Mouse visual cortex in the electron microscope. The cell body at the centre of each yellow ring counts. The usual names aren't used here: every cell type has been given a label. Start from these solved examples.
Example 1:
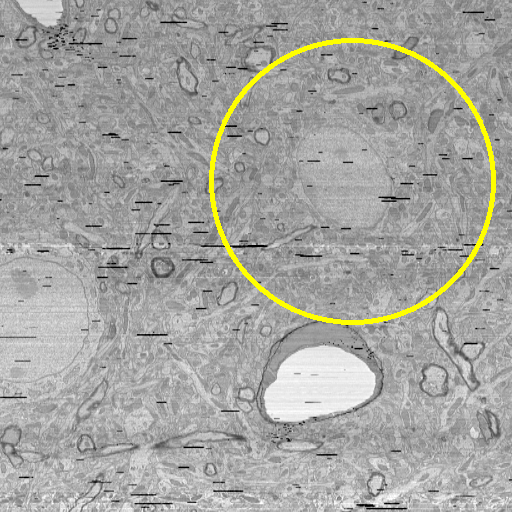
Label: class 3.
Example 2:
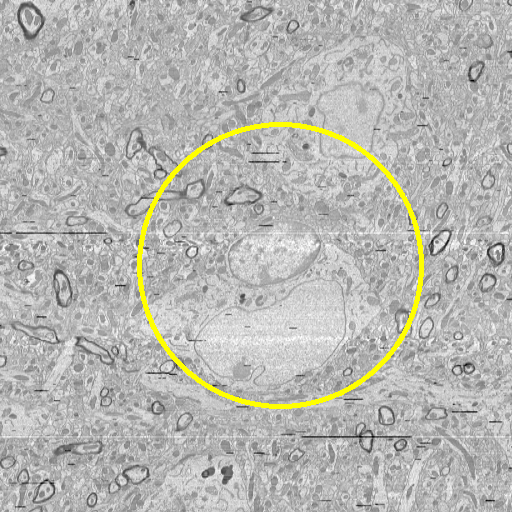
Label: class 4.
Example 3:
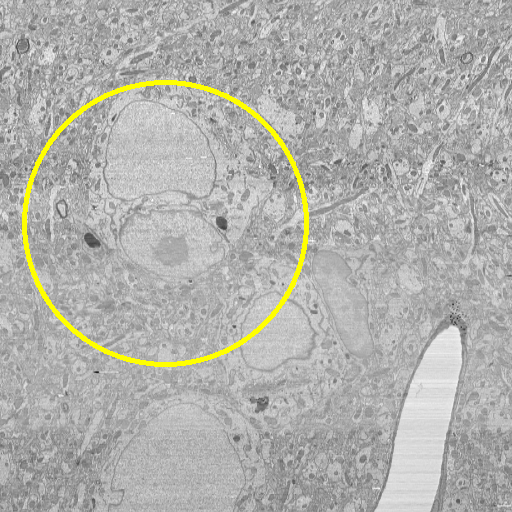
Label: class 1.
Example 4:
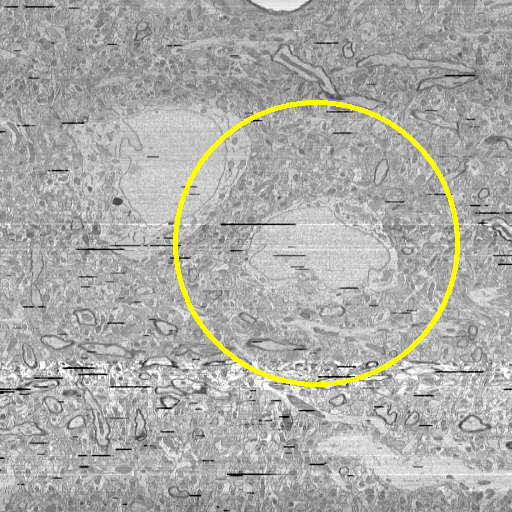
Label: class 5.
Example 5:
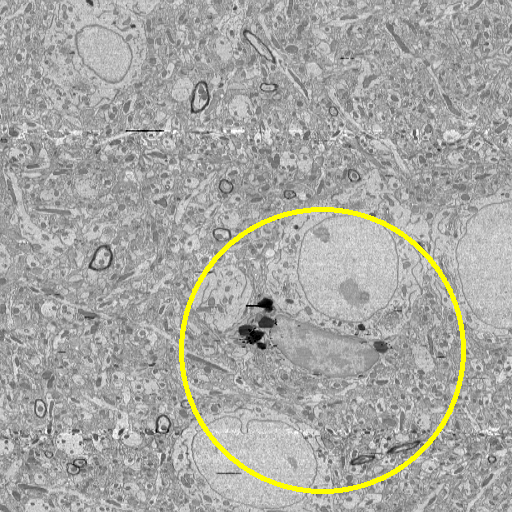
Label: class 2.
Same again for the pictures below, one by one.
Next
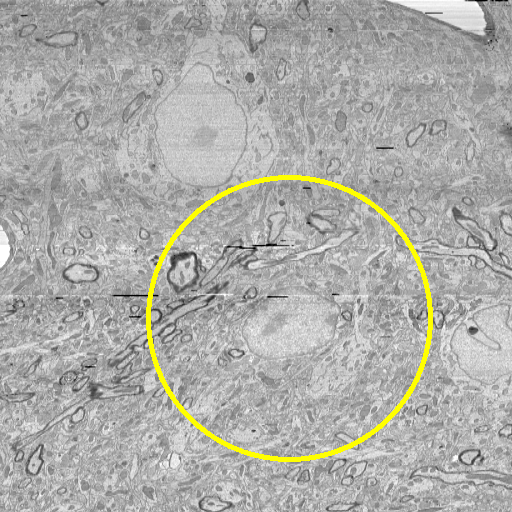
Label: class 3.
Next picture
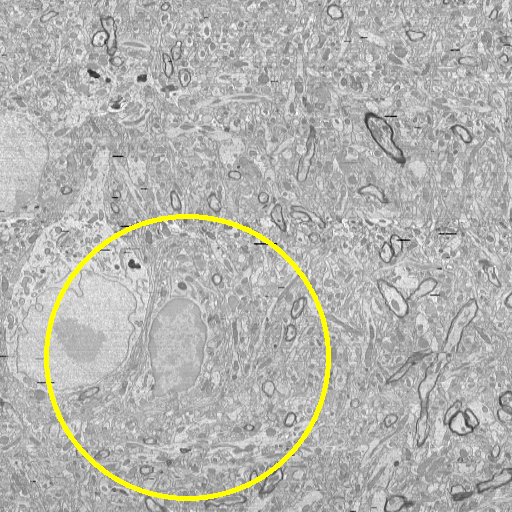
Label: class 2.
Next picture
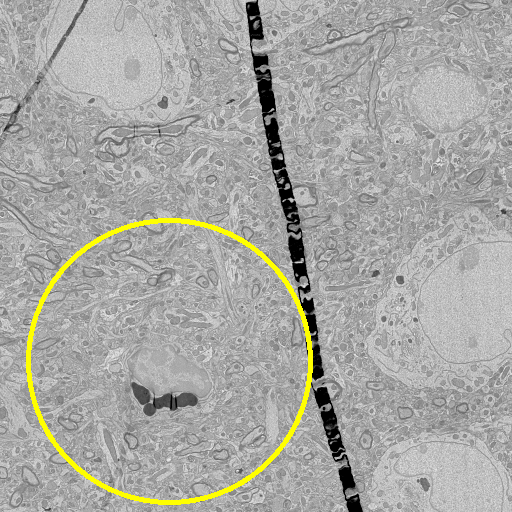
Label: class 2.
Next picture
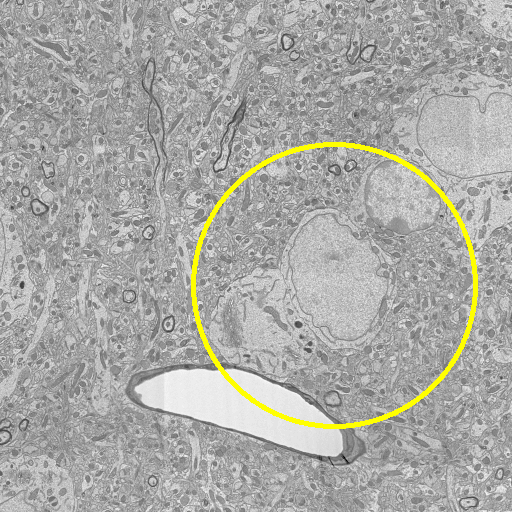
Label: class 5.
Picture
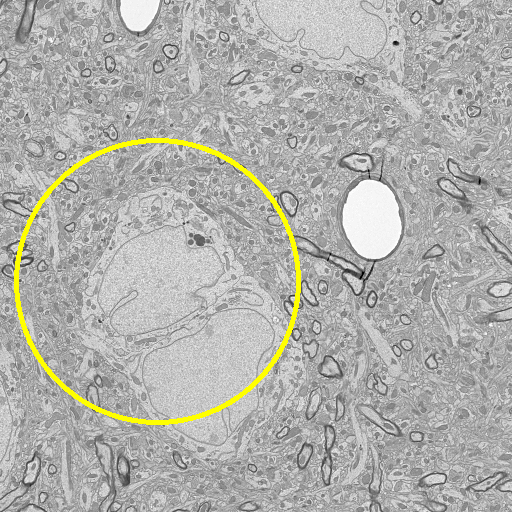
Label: class 5.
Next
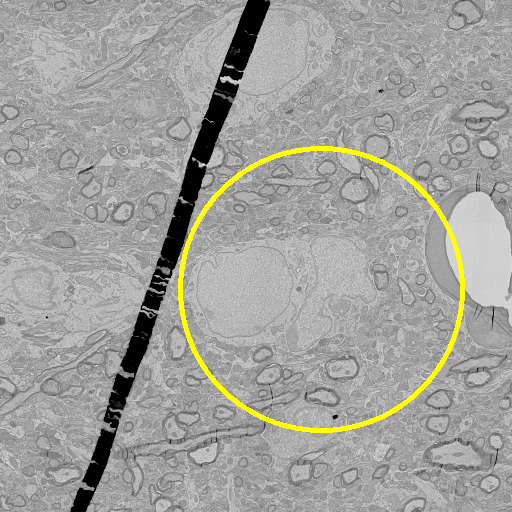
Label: class 1.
